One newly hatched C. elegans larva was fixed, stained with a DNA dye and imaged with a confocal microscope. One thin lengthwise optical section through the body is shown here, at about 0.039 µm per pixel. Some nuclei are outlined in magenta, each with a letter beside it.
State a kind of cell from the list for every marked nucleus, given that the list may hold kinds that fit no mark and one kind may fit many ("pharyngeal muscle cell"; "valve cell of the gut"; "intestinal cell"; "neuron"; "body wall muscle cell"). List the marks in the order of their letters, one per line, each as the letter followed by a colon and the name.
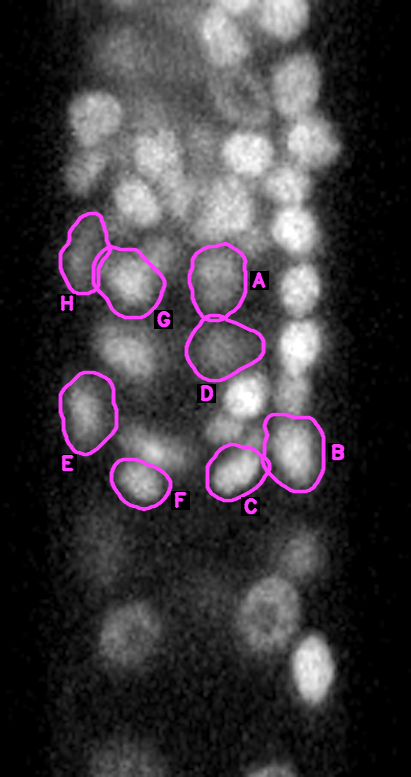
A: pharyngeal muscle cell
B: body wall muscle cell
C: valve cell of the gut
D: pharyngeal muscle cell
E: body wall muscle cell
F: valve cell of the gut
G: neuron
H: body wall muscle cell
